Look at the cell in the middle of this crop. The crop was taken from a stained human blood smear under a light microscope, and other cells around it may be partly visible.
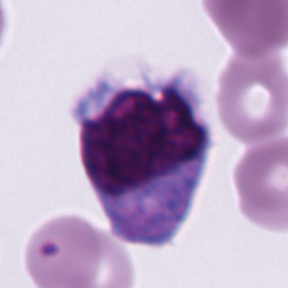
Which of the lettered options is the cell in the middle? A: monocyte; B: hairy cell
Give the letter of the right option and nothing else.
A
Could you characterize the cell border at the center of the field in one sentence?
Its outline is ragged or drawn out into projections, not smooth.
